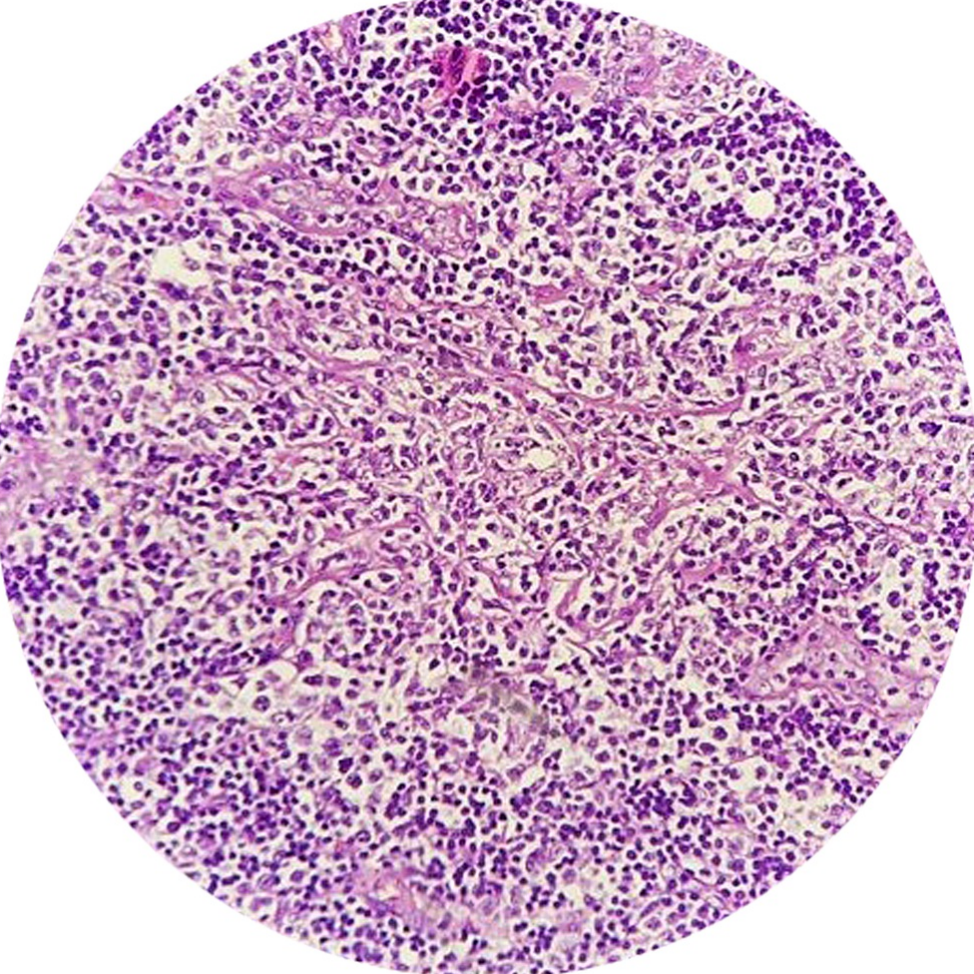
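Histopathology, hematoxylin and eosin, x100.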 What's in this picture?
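Lymphoid tissue is effaced by sheets of lymphoid cells that proliferate diffusely across the whole field, with no follicular arrangement. The cells have round to irregular, dark purple nuclei and scant cytoplasm. They are densest at the periphery, while the centre holds cells with somewhat larger, paler oval nuclei. Thin, wavy pink fibrous strands run between the cells.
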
